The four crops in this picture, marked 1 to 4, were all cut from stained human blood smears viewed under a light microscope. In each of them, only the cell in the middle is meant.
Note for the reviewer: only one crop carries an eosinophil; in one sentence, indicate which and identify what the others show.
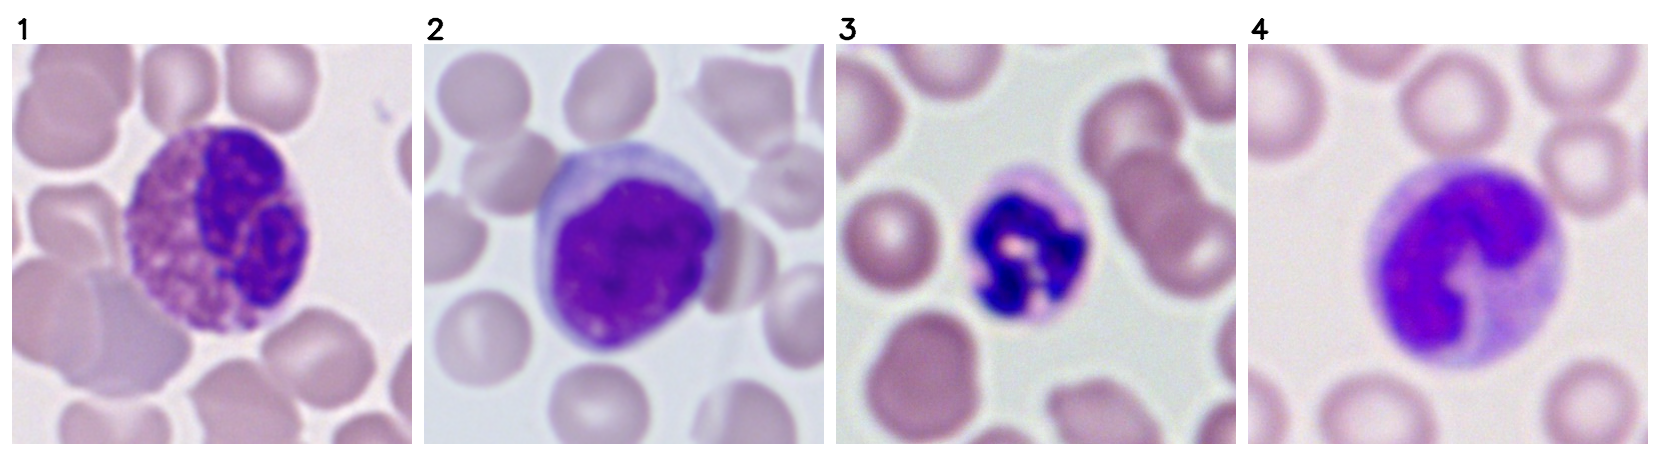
Crop 1 shows an eosinophil in its middle, while crop 2 is a myeloblast, crop 3 is a segmented neutrophil and crop 4 is a band neutrophil.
